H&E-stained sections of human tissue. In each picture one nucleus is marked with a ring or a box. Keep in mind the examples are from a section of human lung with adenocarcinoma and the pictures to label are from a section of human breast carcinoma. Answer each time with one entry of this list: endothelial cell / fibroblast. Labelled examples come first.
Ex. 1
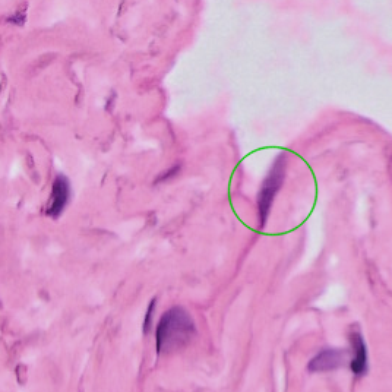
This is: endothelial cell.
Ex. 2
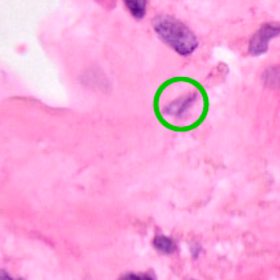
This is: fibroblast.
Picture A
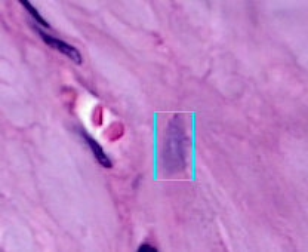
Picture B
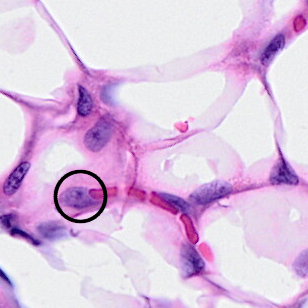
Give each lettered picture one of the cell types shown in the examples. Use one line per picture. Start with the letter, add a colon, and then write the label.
A: fibroblast.
B: endothelial cell.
